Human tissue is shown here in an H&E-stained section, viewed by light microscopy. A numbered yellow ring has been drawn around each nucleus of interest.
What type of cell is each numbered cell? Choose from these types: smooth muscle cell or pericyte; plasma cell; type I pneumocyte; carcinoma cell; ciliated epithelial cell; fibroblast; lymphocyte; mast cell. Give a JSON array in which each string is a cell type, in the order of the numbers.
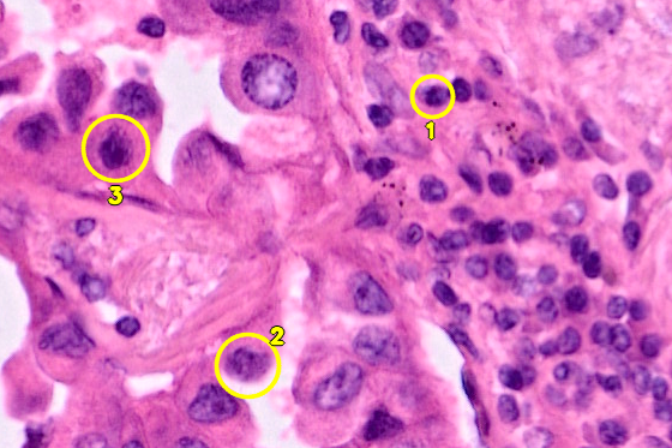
["lymphocyte", "carcinoma cell", "carcinoma cell"]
